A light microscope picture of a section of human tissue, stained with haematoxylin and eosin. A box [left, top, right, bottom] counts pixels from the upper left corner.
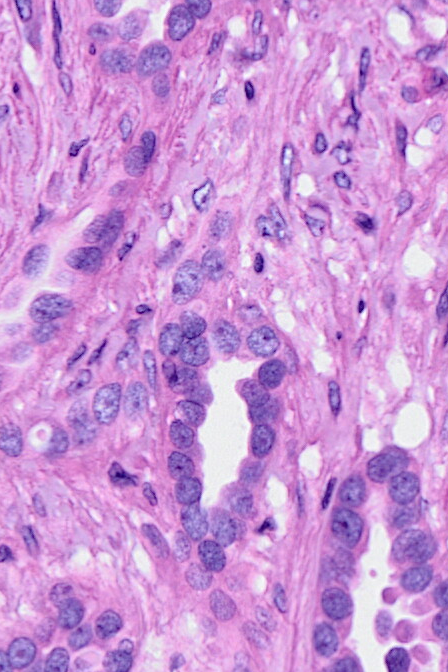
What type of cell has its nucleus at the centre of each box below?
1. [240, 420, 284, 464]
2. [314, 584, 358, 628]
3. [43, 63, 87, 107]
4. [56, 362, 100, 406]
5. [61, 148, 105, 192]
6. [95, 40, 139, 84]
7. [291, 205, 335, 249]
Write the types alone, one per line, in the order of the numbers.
carcinoma cell
carcinoma cell
fibroblast
fibroblast
fibroblast
carcinoma cell
fibroblast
